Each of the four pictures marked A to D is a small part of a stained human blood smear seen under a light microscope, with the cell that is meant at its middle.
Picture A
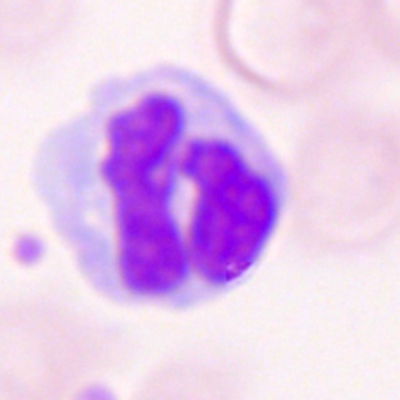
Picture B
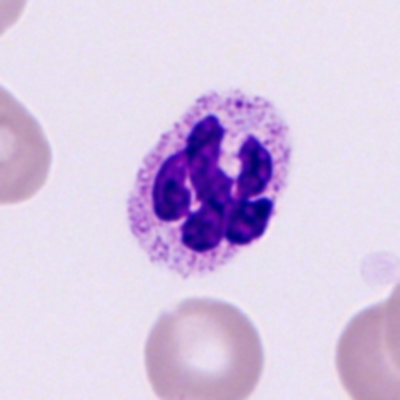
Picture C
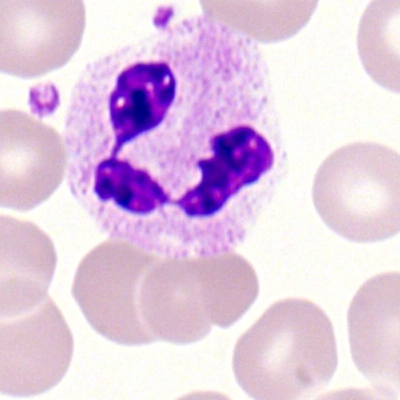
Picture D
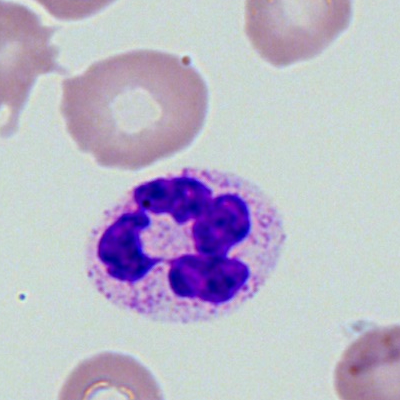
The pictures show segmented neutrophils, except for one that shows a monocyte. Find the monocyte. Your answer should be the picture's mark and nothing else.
A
